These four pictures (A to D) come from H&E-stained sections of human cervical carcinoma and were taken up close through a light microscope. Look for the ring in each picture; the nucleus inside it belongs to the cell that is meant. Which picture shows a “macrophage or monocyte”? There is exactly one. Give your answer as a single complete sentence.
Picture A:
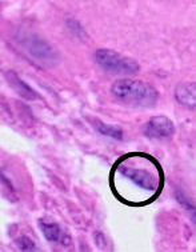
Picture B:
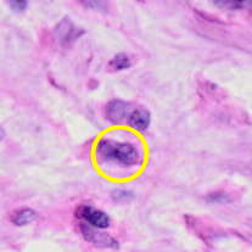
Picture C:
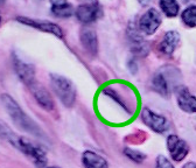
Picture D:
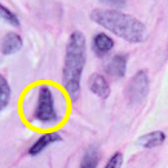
The “macrophage or monocyte” is the one in picture B.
